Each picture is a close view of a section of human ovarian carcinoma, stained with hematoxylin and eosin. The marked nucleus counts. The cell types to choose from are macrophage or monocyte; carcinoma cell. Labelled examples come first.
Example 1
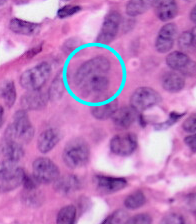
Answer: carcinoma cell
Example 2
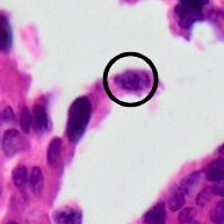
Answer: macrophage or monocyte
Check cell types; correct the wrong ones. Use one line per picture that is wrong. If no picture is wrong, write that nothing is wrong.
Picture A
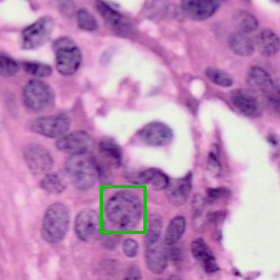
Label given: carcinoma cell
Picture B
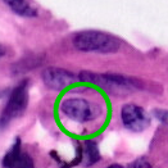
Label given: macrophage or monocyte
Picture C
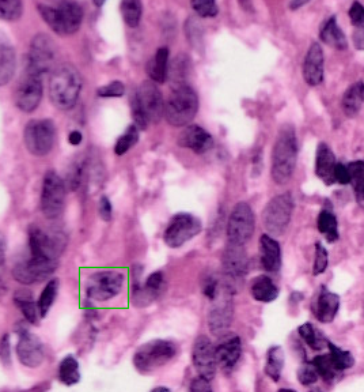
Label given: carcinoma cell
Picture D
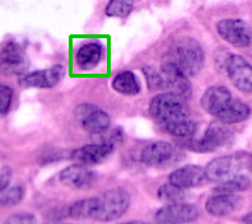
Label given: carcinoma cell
C: not carcinoma cell but macrophage or monocyte
D: not carcinoma cell but macrophage or monocyte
